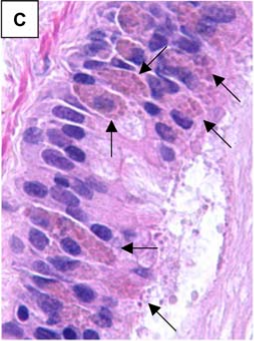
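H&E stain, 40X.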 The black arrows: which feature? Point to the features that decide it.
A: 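Pale purplish-pink rounded bodies lie in the cytoplasm of columnar epithelial cells. The bodies are distinct from the dark blue nuclei. That points to this answer: amphophilic bodies.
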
